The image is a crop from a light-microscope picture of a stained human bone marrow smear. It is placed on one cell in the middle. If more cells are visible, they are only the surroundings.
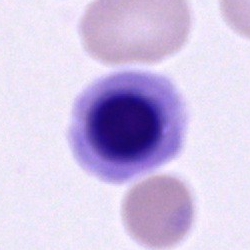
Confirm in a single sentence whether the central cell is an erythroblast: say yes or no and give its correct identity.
Yes, an erythroblast is what the central cell is.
